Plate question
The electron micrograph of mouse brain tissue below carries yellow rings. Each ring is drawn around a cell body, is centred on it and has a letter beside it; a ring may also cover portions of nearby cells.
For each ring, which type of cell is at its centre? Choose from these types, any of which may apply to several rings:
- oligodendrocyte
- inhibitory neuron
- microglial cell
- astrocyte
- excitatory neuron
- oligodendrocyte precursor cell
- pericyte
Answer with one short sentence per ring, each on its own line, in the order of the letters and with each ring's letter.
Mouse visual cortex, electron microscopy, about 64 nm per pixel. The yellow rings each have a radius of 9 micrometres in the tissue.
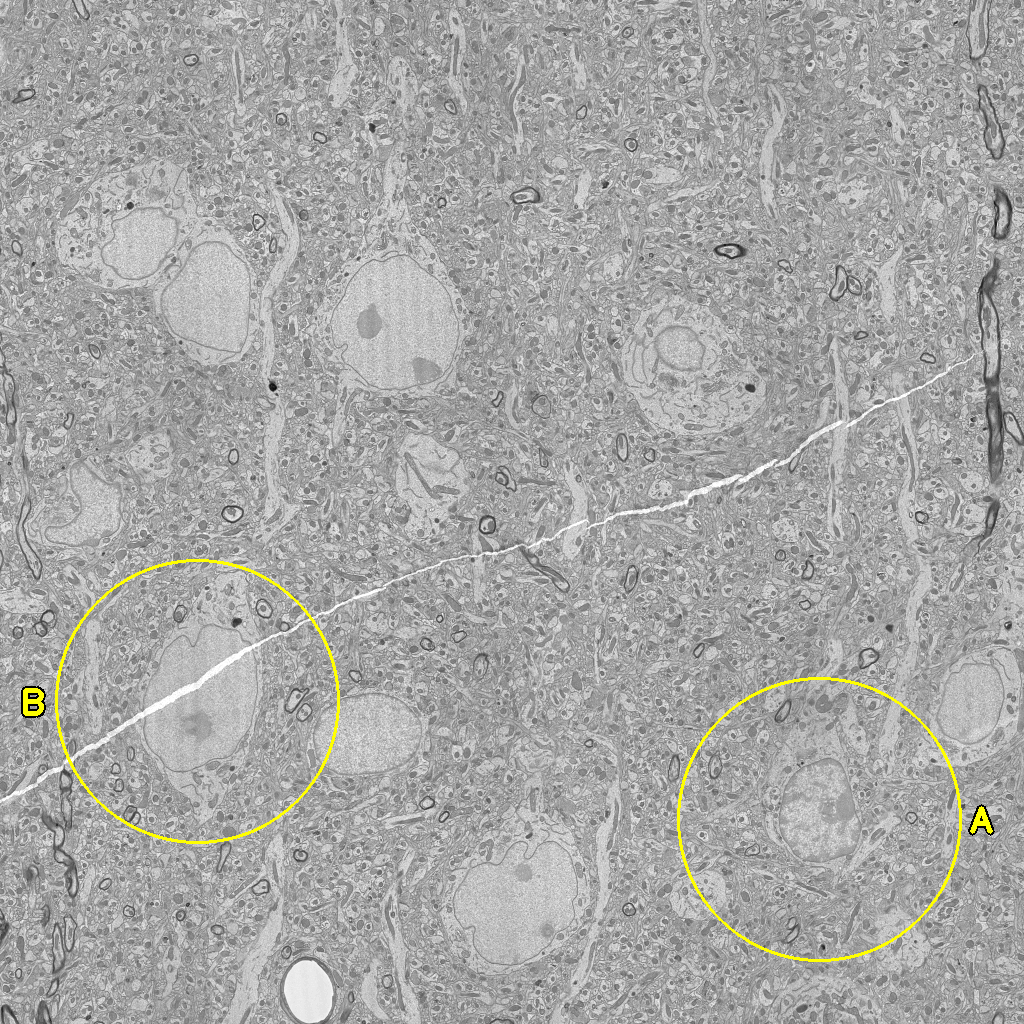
The cell ringed as A is an oligodendrocyte.
The cell ringed as B is an excitatory neuron.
